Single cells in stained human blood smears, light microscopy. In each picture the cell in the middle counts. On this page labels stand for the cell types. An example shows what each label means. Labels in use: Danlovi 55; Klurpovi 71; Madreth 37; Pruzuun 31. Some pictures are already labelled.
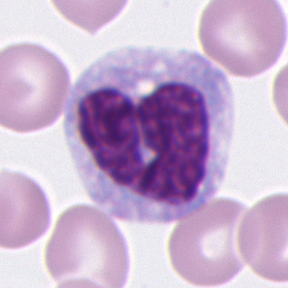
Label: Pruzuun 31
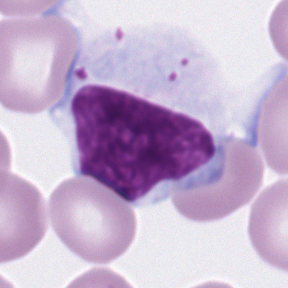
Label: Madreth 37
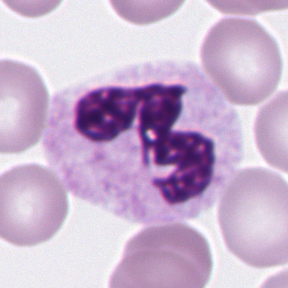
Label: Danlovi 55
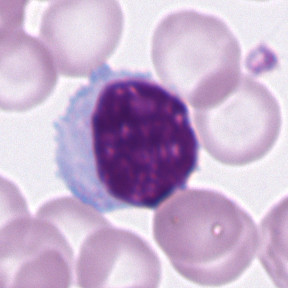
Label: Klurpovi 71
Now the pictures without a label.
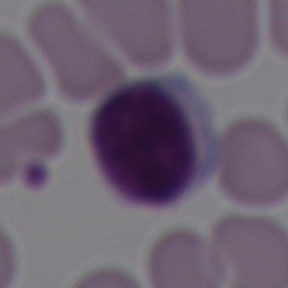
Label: Klurpovi 71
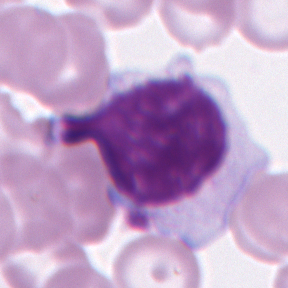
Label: Klurpovi 71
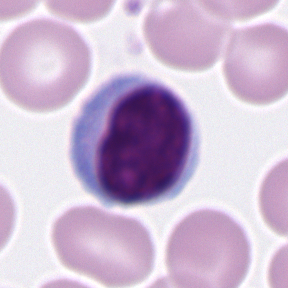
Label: Klurpovi 71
